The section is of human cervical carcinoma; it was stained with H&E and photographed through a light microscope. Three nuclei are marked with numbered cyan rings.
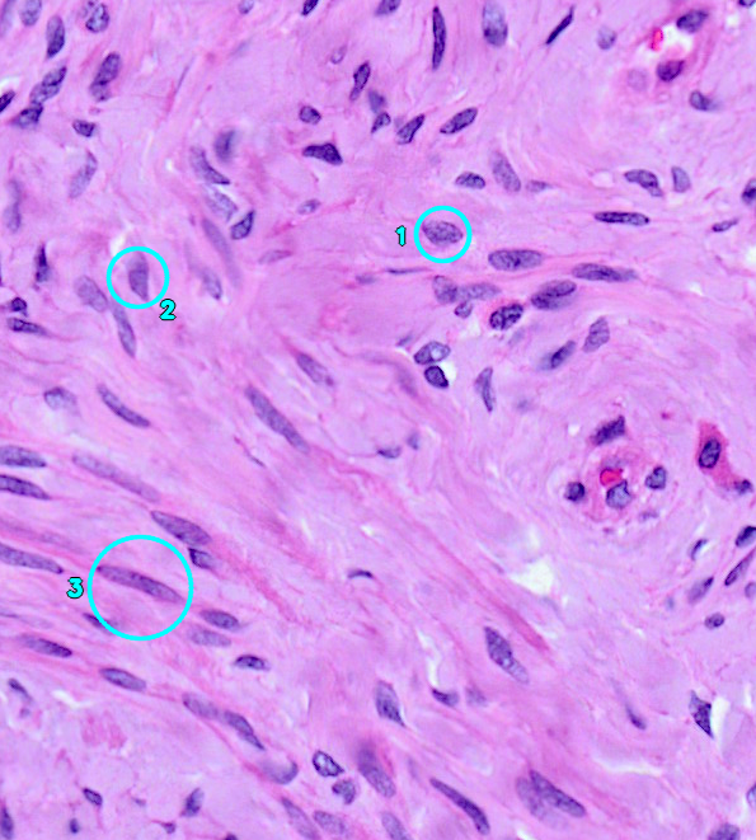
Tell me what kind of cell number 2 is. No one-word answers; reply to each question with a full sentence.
In this section, the cell numbered 2 is a fibroblast.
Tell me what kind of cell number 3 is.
In the tissue shown, cell 3 is a smooth muscle cell.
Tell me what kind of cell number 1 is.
The numeral 1 marks a fibroblast in this section.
